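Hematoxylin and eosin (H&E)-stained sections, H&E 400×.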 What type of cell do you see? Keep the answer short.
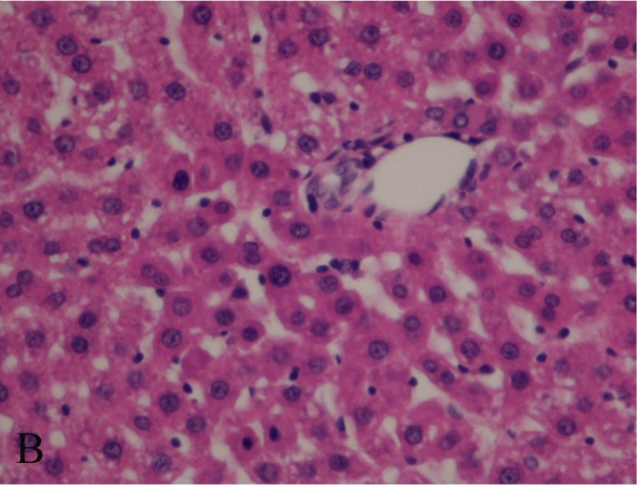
Hepatocytes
